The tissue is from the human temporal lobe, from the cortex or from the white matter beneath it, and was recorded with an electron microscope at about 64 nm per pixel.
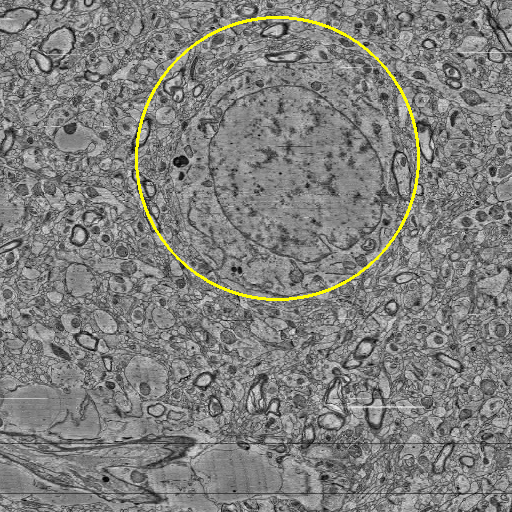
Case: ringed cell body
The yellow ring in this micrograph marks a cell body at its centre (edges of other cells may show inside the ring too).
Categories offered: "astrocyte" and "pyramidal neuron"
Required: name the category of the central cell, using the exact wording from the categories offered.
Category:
pyramidal neuron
